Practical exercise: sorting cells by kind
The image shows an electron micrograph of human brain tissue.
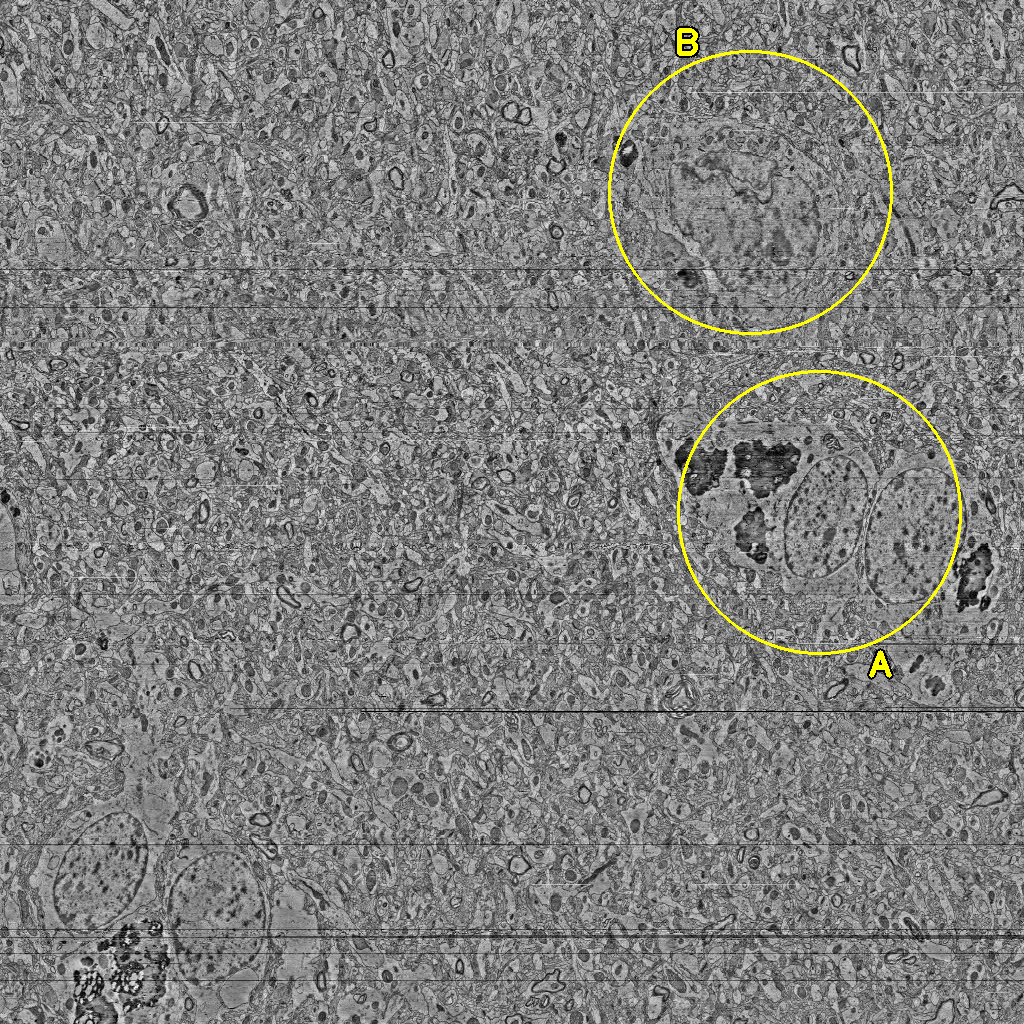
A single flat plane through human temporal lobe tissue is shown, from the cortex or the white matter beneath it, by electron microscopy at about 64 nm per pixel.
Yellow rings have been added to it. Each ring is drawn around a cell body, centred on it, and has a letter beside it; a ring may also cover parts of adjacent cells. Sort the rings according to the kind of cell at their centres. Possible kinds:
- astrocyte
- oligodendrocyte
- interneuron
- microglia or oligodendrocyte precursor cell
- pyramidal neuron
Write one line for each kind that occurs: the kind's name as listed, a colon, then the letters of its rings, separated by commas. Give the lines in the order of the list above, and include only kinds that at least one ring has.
astrocyte: A
interneuron: B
